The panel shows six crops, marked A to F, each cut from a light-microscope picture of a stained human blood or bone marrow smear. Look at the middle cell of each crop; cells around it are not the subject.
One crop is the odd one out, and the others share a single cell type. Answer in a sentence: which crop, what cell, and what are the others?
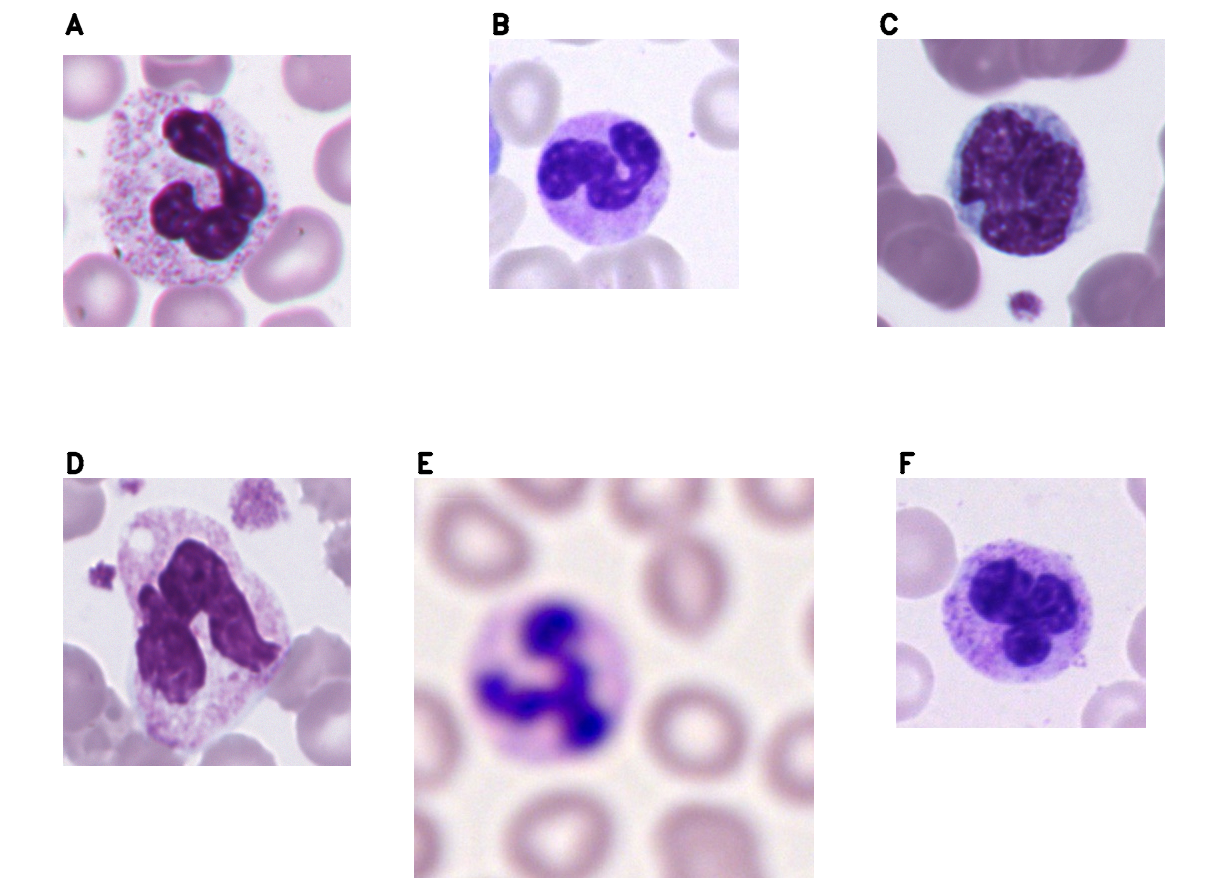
In this set, all crops show segmented neutrophils apart from crop C, which is a monocyte.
